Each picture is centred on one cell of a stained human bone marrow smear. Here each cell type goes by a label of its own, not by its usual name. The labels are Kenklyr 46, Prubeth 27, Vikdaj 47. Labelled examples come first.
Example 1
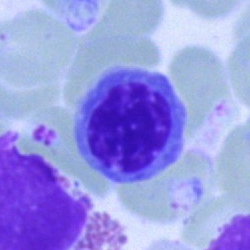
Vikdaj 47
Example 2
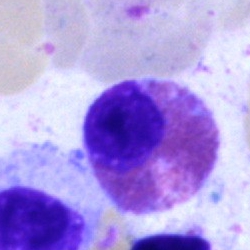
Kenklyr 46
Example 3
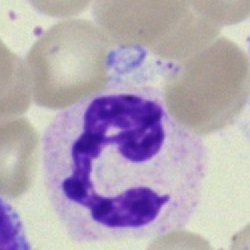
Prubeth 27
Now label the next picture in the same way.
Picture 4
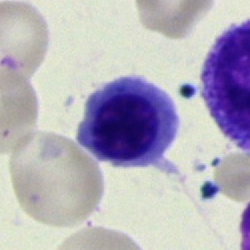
Vikdaj 47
